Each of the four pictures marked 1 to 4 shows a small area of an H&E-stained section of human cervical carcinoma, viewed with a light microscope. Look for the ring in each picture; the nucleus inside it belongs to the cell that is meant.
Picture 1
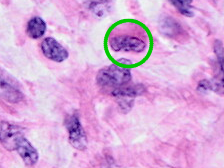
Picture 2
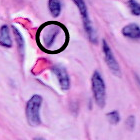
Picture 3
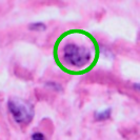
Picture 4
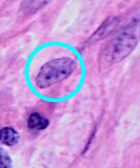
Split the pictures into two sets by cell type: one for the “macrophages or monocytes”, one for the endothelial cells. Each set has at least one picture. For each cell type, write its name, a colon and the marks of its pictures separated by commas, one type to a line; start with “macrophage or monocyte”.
macrophage or monocyte: 1, 3, 4
endothelial cell: 2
